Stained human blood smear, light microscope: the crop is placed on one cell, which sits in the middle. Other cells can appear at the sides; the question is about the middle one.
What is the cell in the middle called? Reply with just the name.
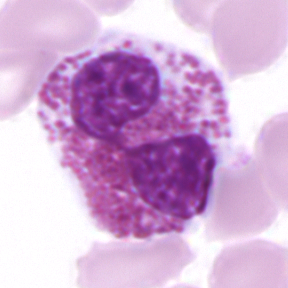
eosinophil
